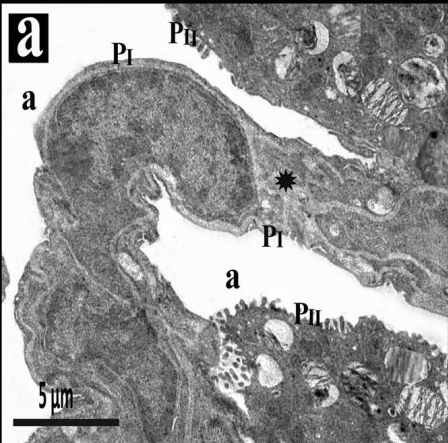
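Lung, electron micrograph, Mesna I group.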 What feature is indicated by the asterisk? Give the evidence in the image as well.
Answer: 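Thin interalveolar septa. The asterisk lies in a narrow strip of tissue between two air spaces.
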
